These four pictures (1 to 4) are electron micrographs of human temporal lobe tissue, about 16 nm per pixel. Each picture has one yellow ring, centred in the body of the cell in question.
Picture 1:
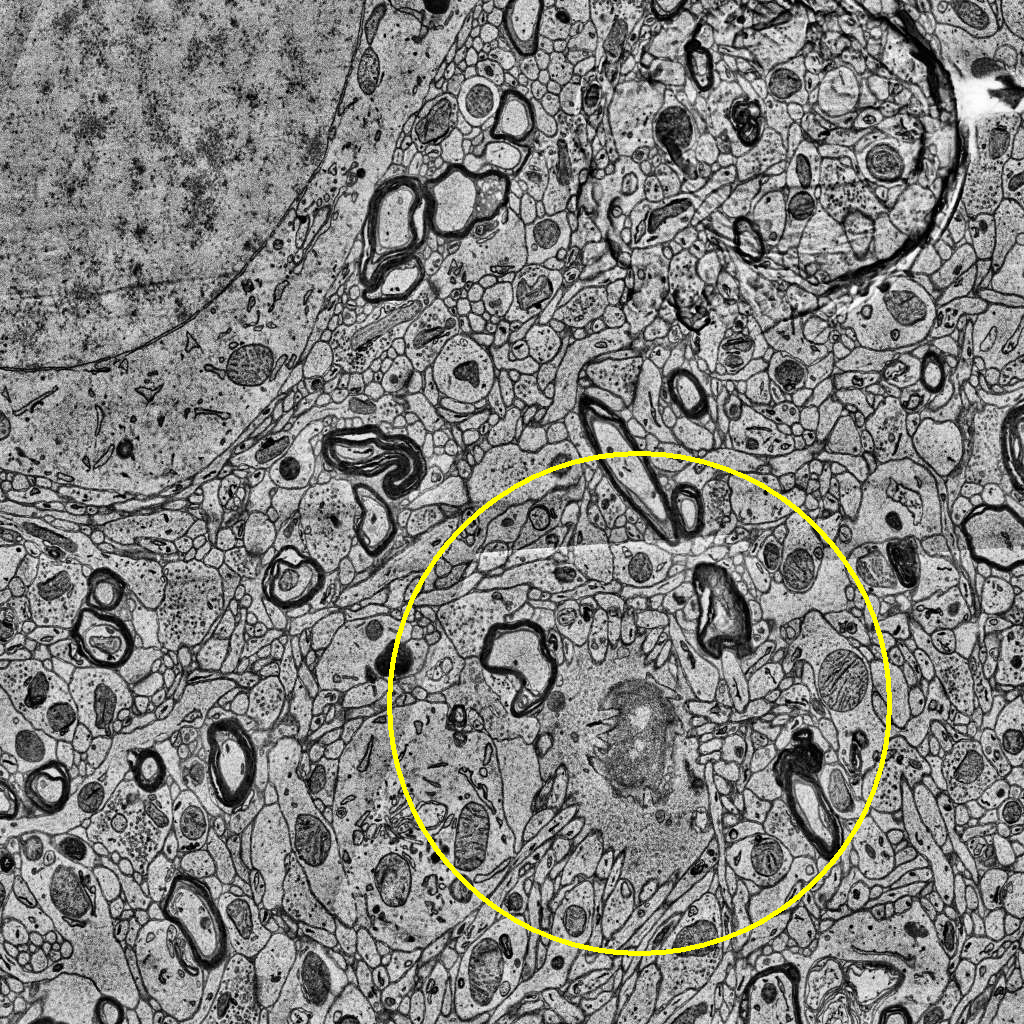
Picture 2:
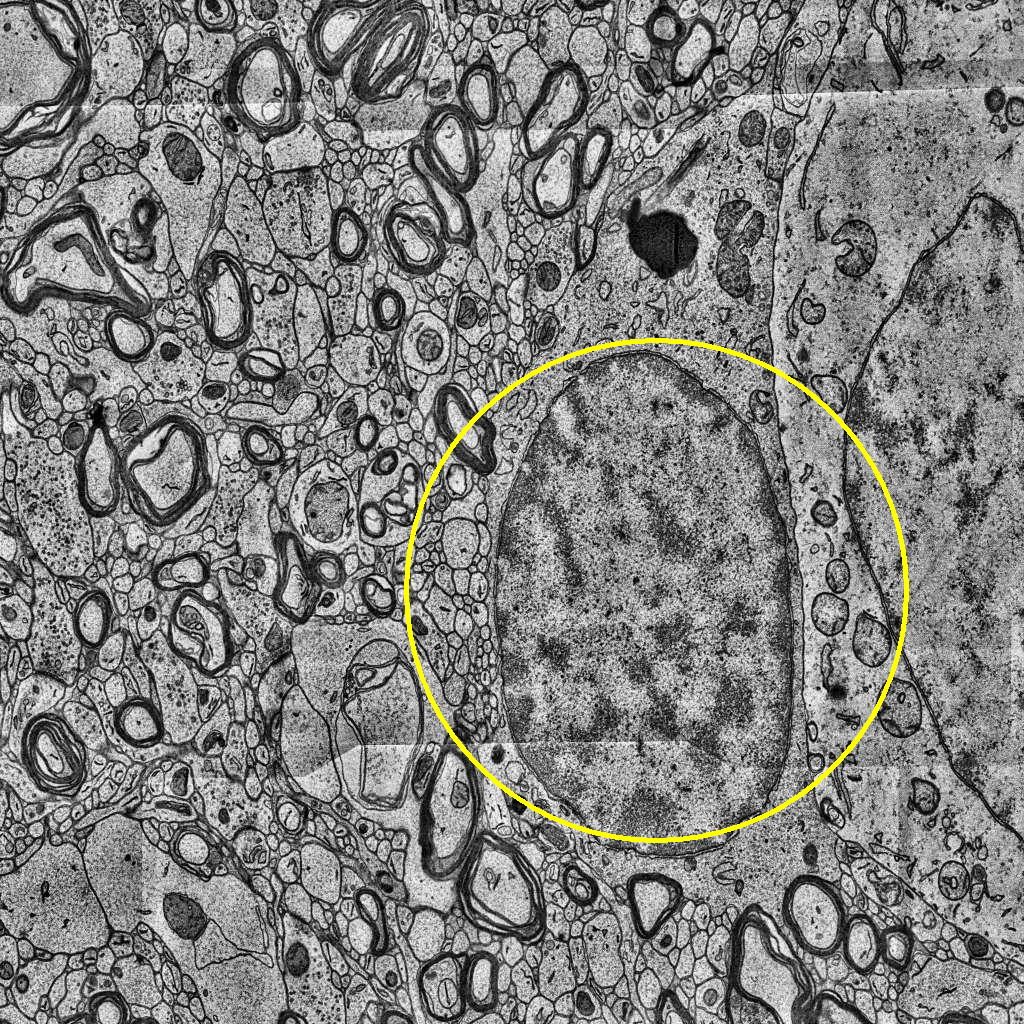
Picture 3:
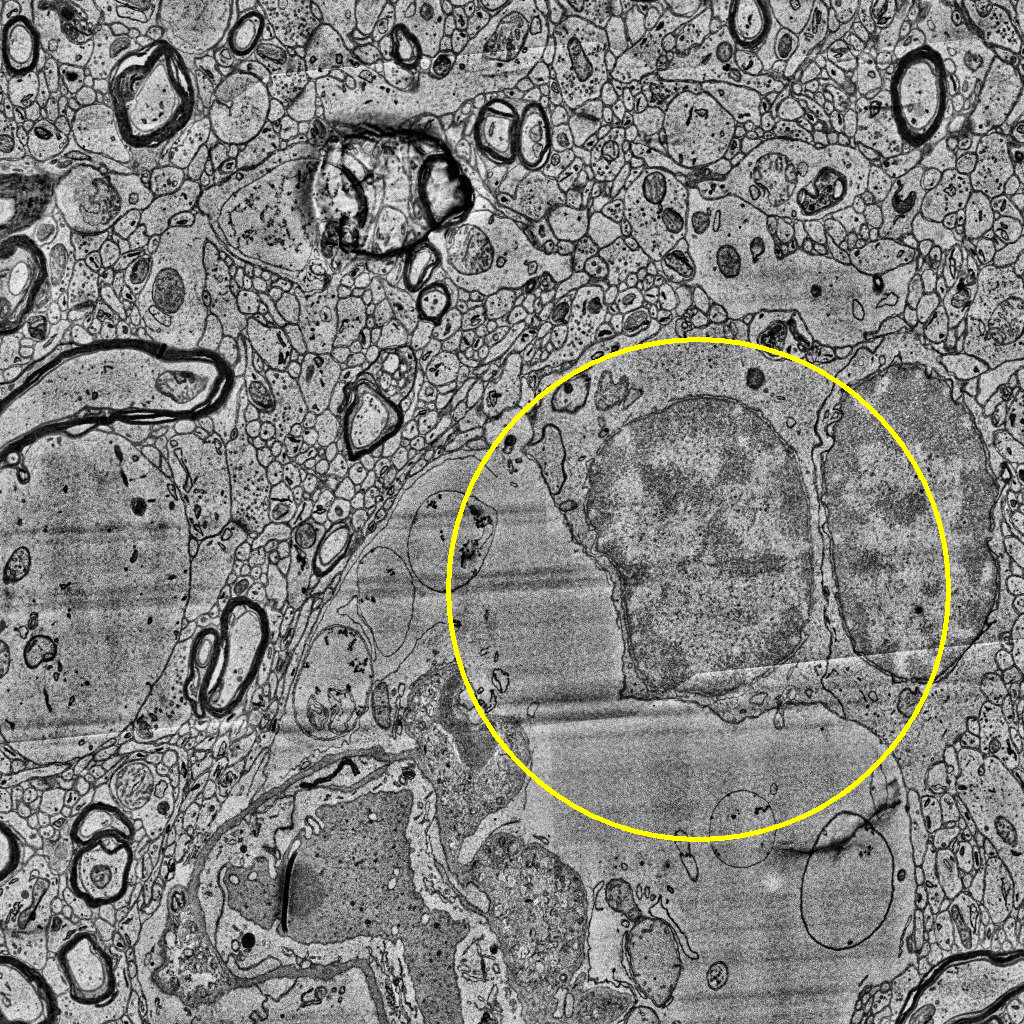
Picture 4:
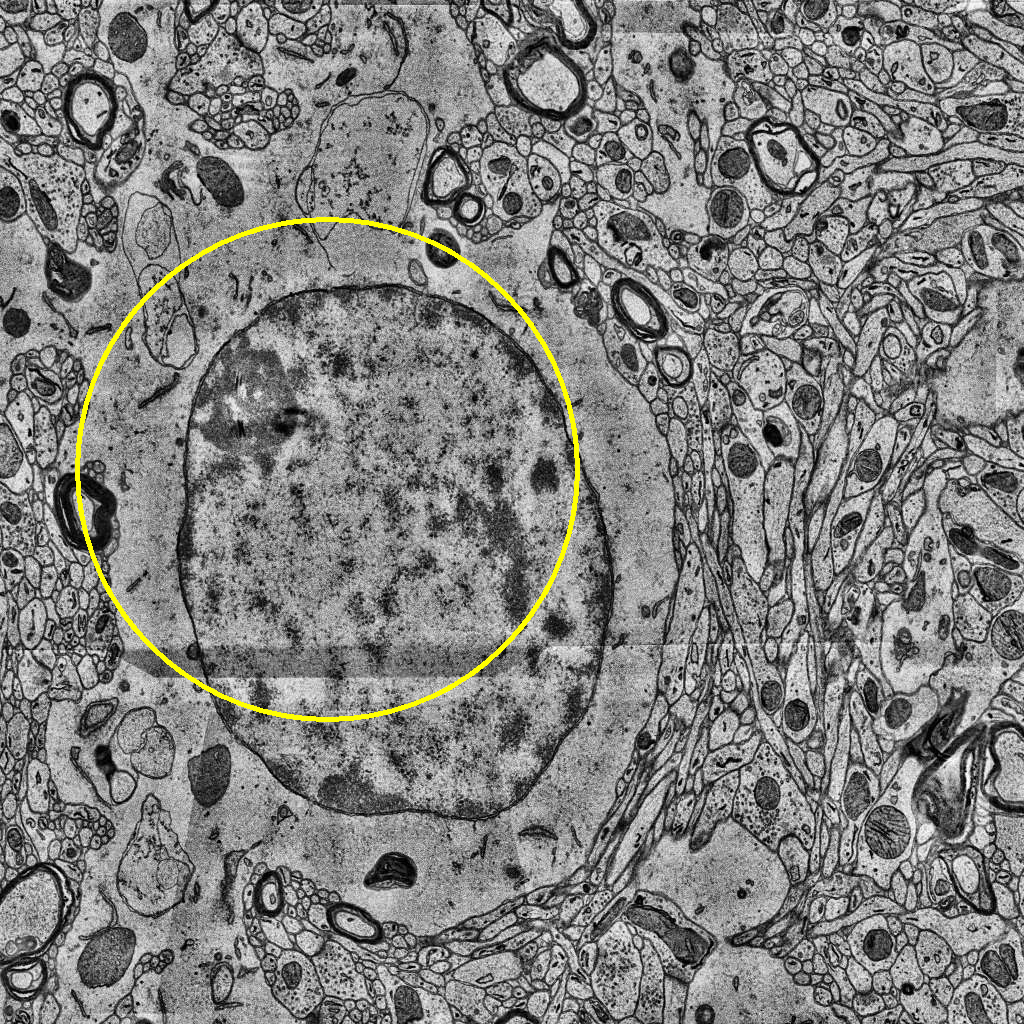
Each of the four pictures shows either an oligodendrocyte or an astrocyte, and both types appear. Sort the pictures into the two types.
Pictures 1, 2 and 3 show oligodendrocytes, while picture 4 shows an astrocyte.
